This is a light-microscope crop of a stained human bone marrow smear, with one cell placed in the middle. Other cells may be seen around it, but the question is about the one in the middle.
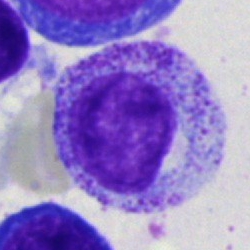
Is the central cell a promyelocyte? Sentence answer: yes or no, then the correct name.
No, the middle cell is actually a myelocyte rather than a promyelocyte.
